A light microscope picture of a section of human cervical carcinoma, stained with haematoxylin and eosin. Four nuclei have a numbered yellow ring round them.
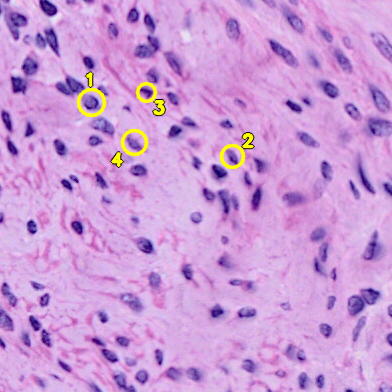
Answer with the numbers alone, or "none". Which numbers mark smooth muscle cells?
2, 3, 4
